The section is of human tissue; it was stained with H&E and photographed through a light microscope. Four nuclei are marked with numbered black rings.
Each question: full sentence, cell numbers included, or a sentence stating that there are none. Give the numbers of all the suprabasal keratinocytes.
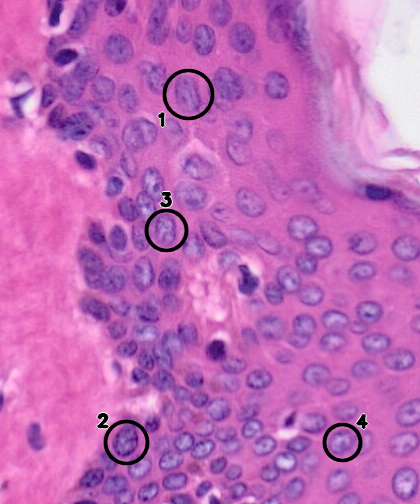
The cells given the numbers 1, 3 and 4 are suprabasal keratinocytes.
